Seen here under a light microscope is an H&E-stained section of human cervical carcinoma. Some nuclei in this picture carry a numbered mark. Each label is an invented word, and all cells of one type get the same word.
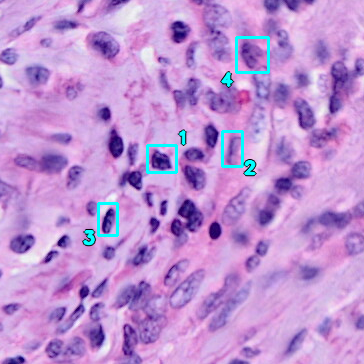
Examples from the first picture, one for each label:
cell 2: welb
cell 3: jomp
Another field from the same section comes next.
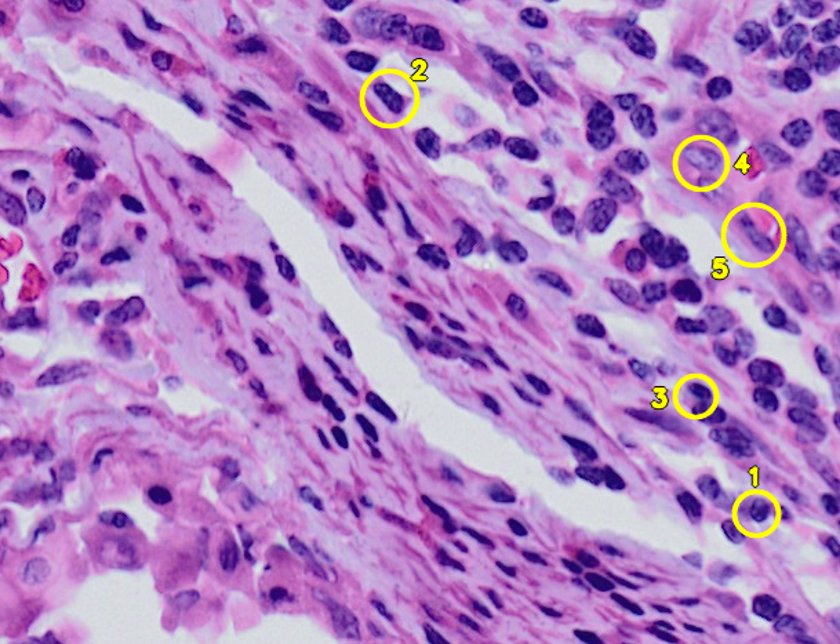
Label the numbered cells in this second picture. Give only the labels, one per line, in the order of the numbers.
jomp
jomp
jomp
welb
welb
